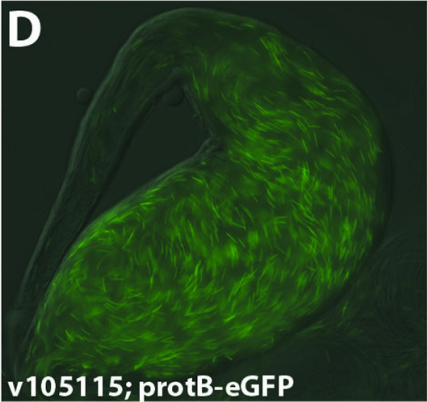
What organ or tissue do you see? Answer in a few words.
Seminal vesicles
